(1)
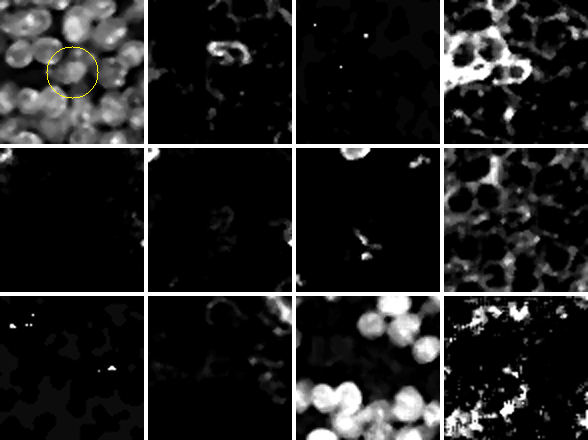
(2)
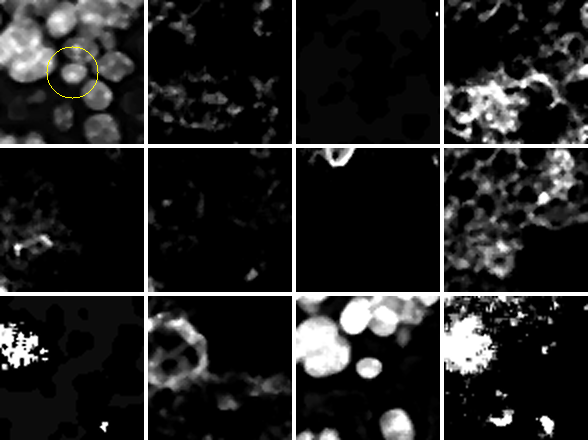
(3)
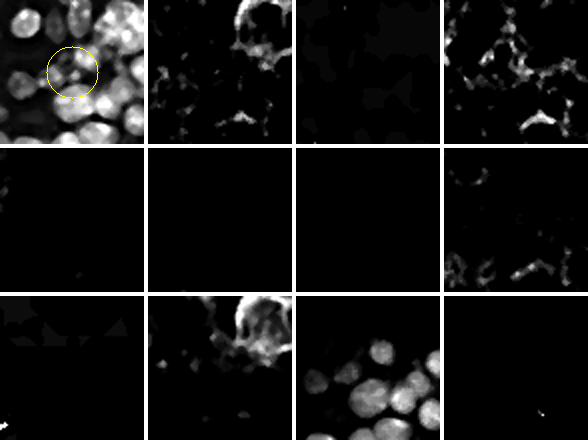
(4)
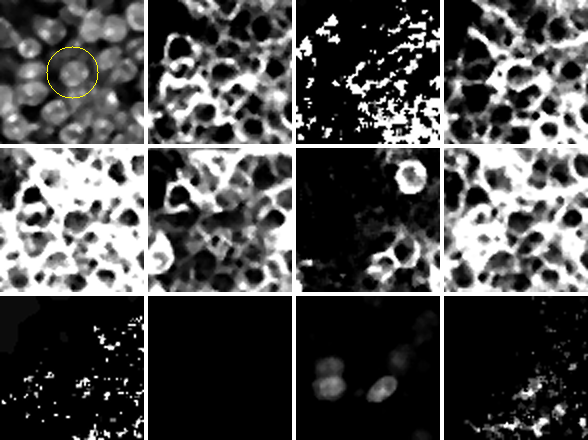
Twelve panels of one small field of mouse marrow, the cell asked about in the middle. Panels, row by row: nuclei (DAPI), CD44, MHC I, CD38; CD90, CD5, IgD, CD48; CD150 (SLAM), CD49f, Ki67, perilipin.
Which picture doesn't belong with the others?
Picture 4.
